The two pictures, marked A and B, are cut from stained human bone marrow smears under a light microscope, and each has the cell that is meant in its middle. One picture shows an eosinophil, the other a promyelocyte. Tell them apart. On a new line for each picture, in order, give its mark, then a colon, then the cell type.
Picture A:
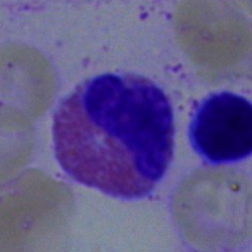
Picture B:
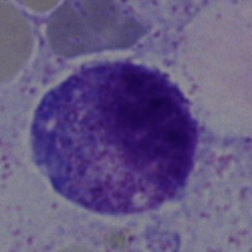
A: eosinophil
B: promyelocyte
